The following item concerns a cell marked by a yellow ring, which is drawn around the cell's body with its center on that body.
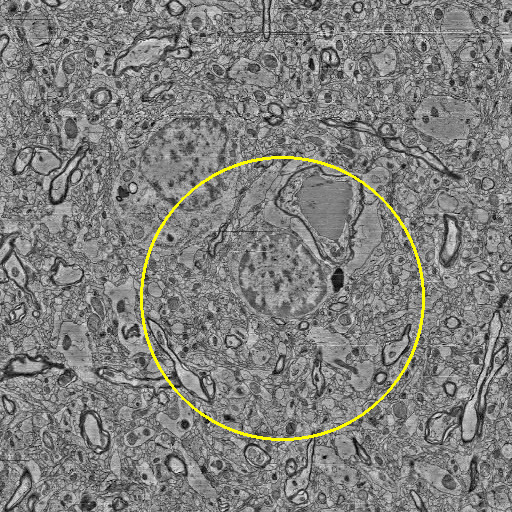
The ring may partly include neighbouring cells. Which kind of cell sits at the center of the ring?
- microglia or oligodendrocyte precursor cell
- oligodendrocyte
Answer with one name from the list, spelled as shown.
oligodendrocyte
